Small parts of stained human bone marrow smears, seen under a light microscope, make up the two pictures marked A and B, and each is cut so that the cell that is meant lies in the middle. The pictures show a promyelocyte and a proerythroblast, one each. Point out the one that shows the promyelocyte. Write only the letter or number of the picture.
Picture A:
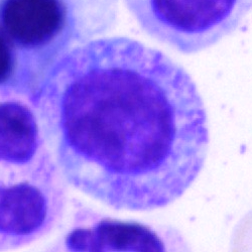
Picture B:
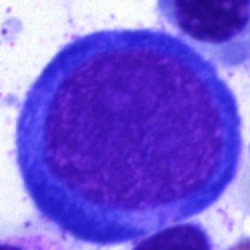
A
